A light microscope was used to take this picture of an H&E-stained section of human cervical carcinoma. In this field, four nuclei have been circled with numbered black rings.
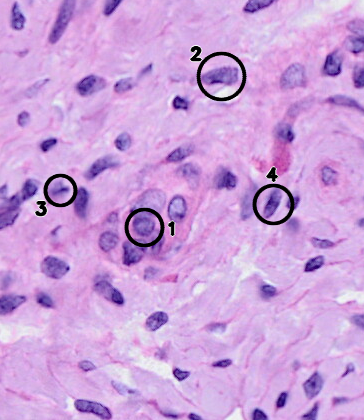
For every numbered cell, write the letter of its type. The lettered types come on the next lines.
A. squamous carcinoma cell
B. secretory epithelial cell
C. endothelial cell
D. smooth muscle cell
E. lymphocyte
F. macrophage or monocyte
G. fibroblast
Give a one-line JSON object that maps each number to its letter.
{"1": "C", "2": "G", "3": "G", "4": "G"}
